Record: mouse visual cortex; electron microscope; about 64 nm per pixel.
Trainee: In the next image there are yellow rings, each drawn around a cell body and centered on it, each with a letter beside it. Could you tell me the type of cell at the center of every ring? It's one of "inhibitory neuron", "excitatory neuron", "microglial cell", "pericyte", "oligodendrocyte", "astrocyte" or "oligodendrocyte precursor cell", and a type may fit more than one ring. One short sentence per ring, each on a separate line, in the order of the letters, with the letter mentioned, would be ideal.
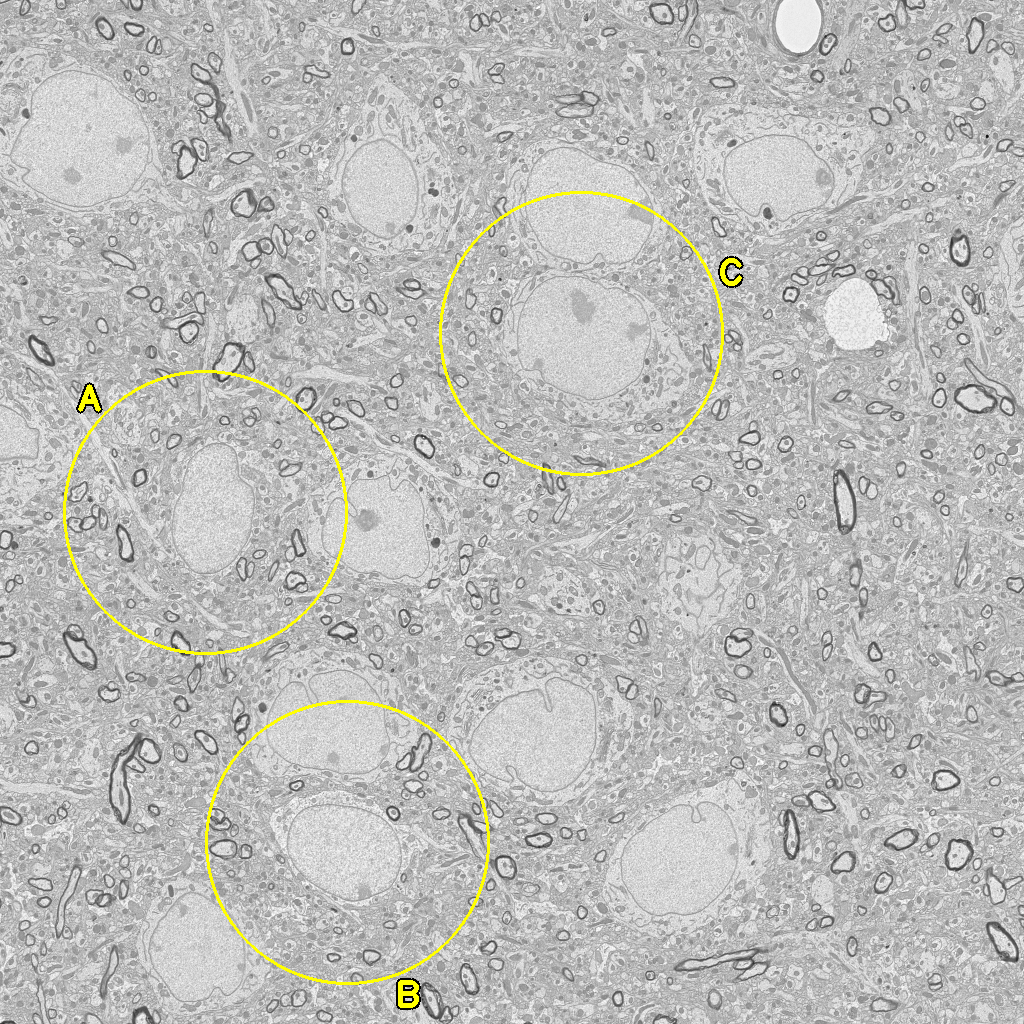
What ring A is centered on is an astrocyte.
What ring B is centered on is an astrocyte.
What ring C is centered on is an excitatory neuron.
